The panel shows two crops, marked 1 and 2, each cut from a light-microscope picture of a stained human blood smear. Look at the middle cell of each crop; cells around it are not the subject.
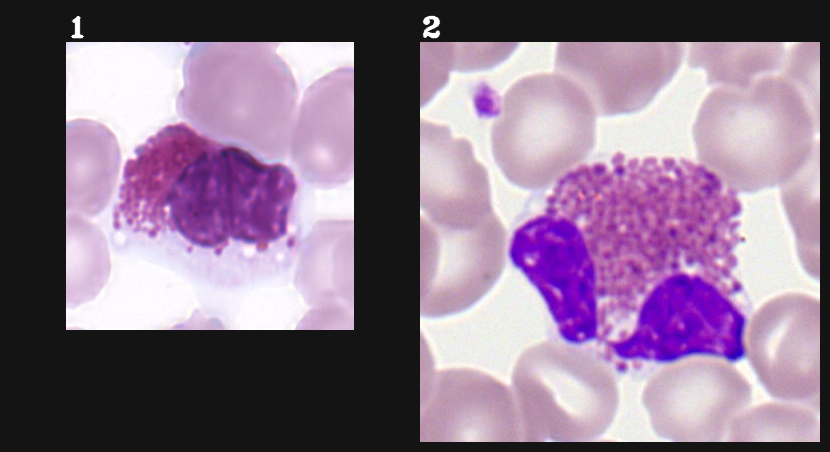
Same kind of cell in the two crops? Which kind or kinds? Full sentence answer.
Yes, the central cells, in both crops, are eosinophils.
